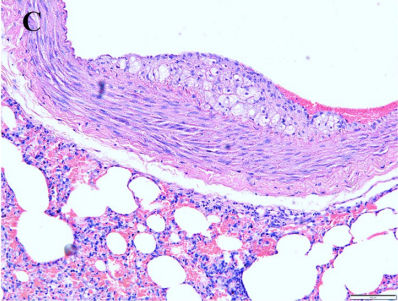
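Here a medium-sized artery in the lung shows atherosclerosis. Its thick wall, made of wavy pink layers of smooth muscle with elongated nuclei, runs across the upper part of the picture. On the inner side the wall rises into a mound containing pale, bubbly, vacuolated cells, giving a foamy texture that is unlike the compact muscle beneath. A thin pink rim lines the lumen above the mound. Below the artery lies lung parenchyma with alveolar spaces, thickened cellular septa and scattered red blood cells.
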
